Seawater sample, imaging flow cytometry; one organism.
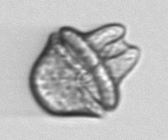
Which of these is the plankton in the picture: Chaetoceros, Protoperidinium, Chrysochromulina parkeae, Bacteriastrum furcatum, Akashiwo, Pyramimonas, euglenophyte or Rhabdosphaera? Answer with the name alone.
Akashiwo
